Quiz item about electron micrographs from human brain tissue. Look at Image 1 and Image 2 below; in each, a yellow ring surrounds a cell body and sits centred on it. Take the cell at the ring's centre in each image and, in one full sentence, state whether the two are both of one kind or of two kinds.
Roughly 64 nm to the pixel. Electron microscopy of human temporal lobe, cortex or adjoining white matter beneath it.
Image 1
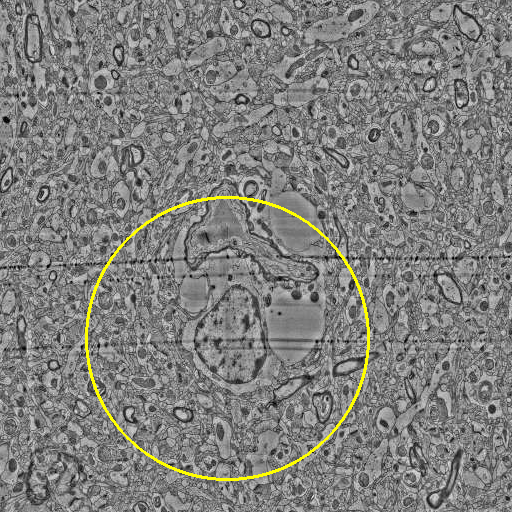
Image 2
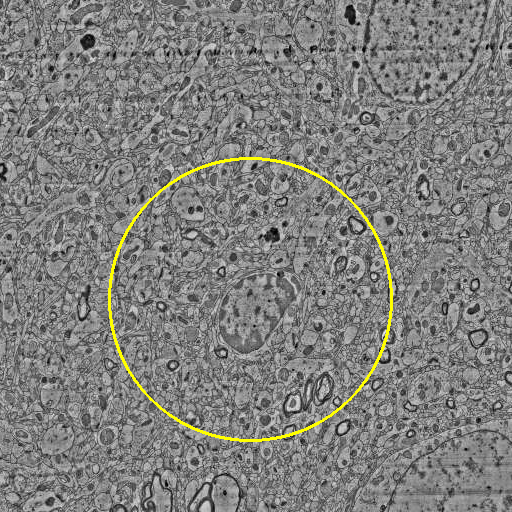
In Image 1 and Image 2, the cells at the ring centres are both of one kind.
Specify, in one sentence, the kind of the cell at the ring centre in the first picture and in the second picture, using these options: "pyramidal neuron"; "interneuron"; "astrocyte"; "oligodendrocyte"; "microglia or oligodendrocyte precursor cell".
Both cells are the same kind, each one being a microglial cell or oligodendrocyte precursor cell.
